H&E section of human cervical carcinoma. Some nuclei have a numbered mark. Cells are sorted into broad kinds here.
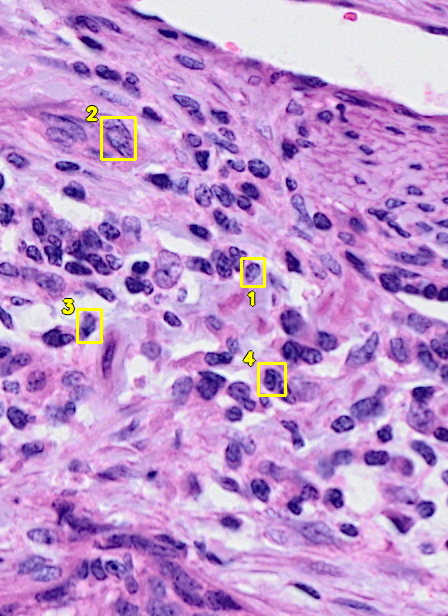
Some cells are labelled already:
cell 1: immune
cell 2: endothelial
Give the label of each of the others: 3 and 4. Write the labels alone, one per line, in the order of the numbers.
immune
immune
